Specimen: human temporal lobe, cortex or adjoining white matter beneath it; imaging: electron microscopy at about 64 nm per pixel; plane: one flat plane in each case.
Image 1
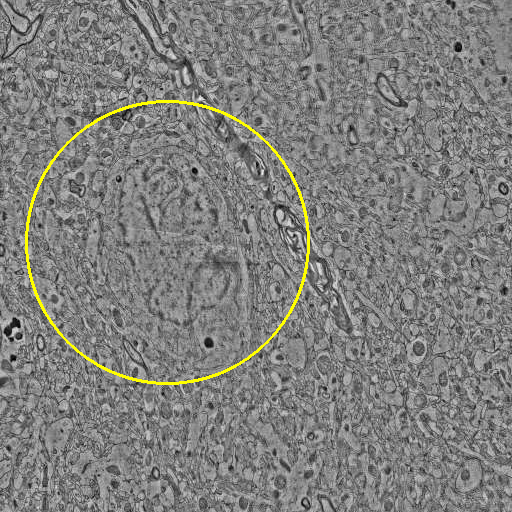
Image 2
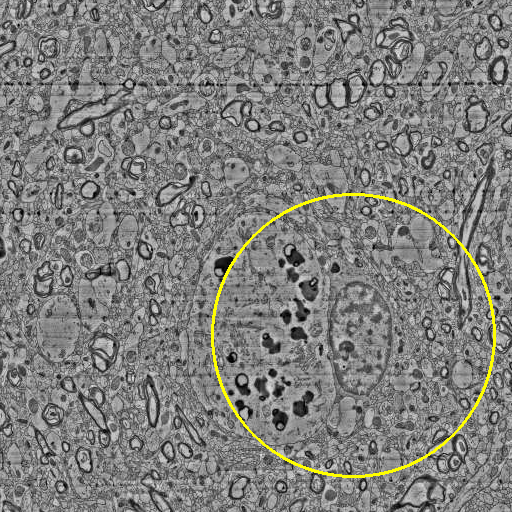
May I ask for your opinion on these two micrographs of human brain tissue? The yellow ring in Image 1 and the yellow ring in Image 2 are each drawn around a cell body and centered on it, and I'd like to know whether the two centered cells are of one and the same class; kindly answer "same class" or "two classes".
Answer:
two classes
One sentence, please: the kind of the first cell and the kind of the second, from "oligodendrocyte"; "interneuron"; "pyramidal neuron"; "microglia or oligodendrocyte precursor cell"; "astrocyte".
The ring in the first picture surrounds an interneuron, and the ring in the second surrounds an oligodendrocyte.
